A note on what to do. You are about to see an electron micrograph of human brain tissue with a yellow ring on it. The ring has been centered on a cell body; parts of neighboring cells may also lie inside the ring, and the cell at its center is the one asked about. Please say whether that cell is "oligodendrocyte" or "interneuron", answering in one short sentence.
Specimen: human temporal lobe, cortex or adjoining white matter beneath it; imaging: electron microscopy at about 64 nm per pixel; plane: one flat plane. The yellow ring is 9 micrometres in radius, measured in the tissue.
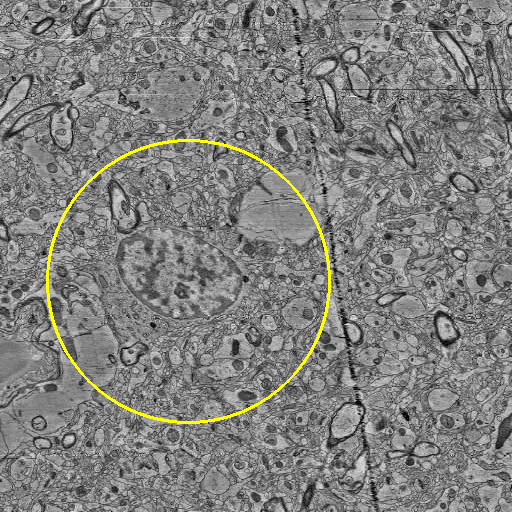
The yellow ring sits on an oligodendrocyte.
